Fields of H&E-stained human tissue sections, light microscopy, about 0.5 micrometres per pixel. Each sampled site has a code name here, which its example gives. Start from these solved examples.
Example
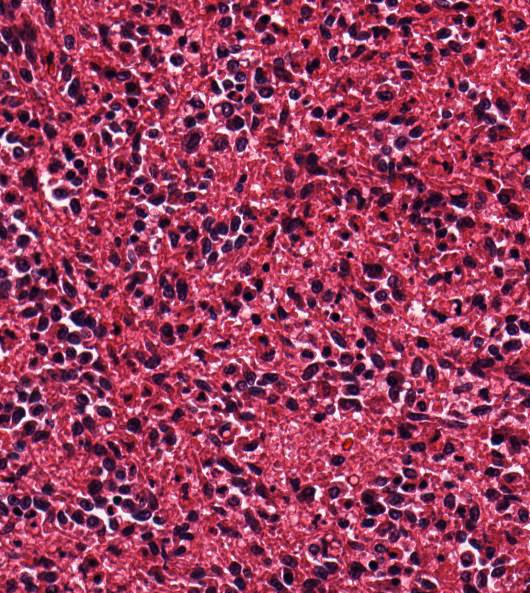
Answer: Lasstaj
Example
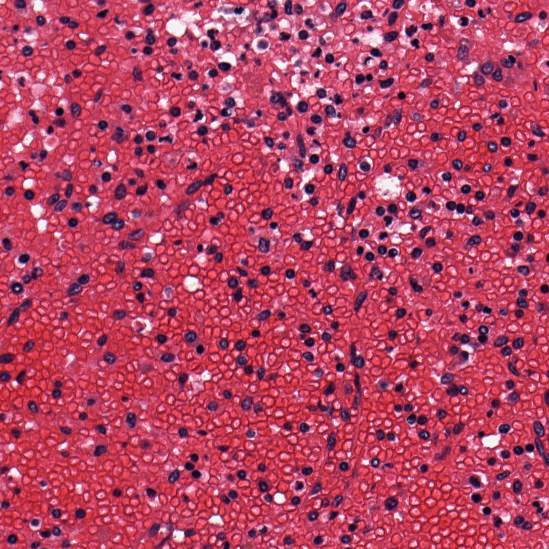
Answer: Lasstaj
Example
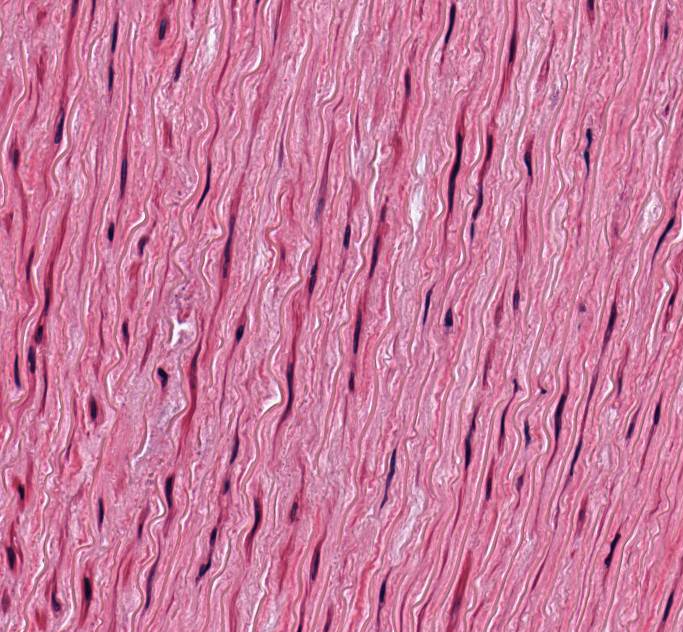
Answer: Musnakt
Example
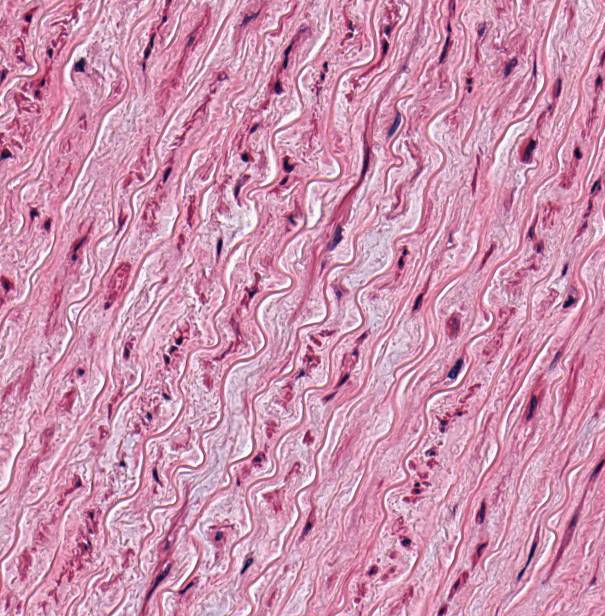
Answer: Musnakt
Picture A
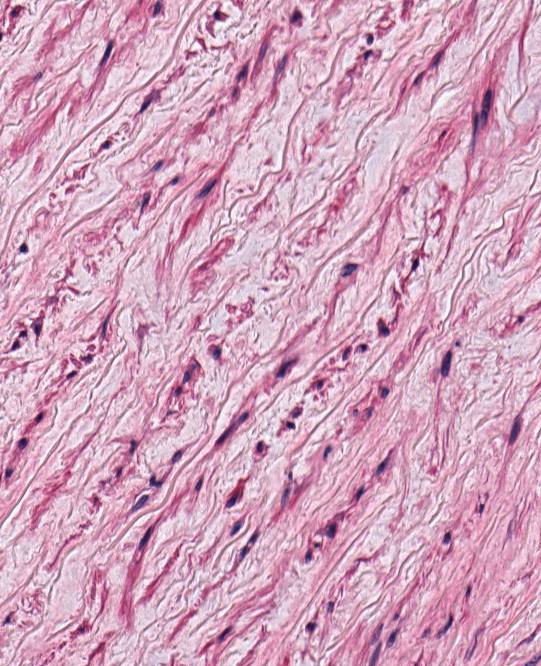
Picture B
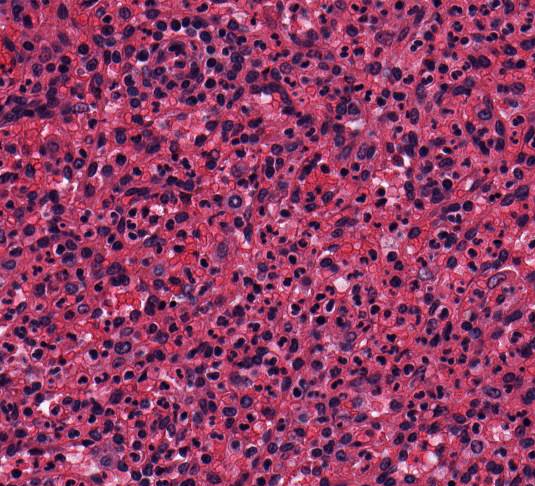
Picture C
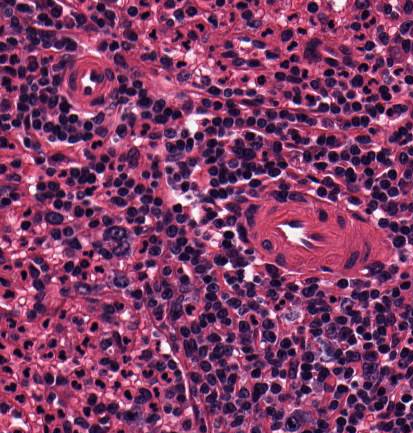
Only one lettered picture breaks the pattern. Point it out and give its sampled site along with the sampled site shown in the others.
A (Musnakt) is the exception; every other picture is Lasstaj.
